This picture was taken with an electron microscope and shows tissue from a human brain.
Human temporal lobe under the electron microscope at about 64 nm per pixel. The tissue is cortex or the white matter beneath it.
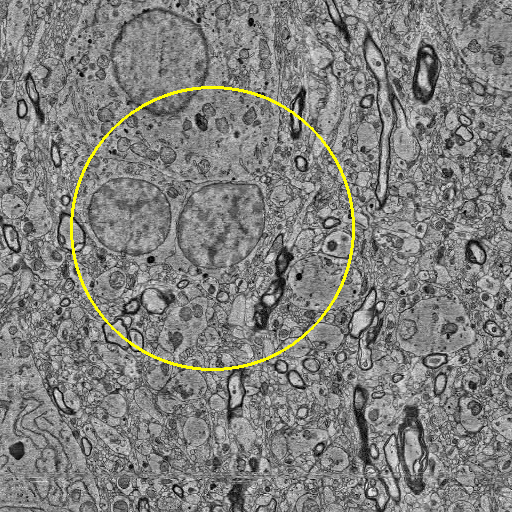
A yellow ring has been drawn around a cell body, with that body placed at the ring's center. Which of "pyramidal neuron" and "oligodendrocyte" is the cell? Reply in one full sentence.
In this picture, an oligodendrocyte is the cell at the center of the yellow ring.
